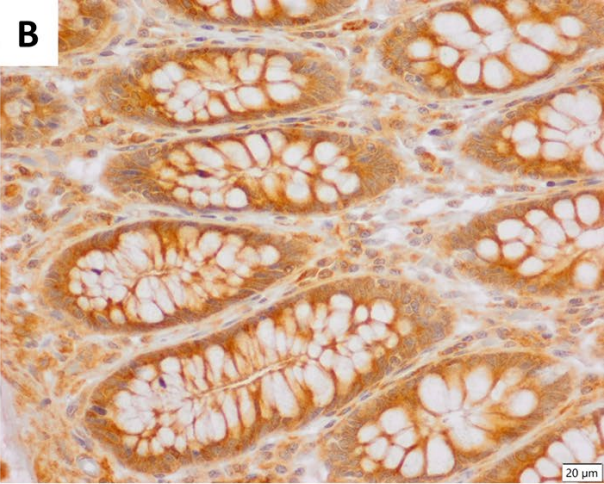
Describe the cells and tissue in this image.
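Colonic mucosa with crypts cut lengthwise and obliquely, lined by columnar enterocytes with basal nuclei interspersed among numerous goblet cells. The goblet cells appear as clear, rounded mucin vacuoles crowding the crypt centres. The enterocyte cytoplasm is intensely brown, outlining the vacuoles.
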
